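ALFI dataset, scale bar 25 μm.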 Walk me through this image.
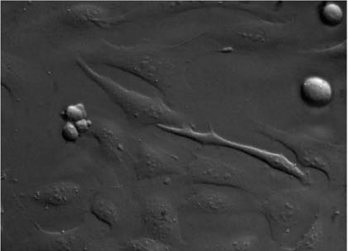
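A field of cultured cells in differential interference contrast, with flat spread cells that have oval nuclei and granular cytoplasm. A long, spindle-shaped cell with thin tapering extensions runs diagonally across the middle of the field. On the left a cluster of three to four rounded bodies of similar size lies pressed together, raised above the surrounding flat cells. At the upper right two isolated cells are rounded into smooth bright spheres.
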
